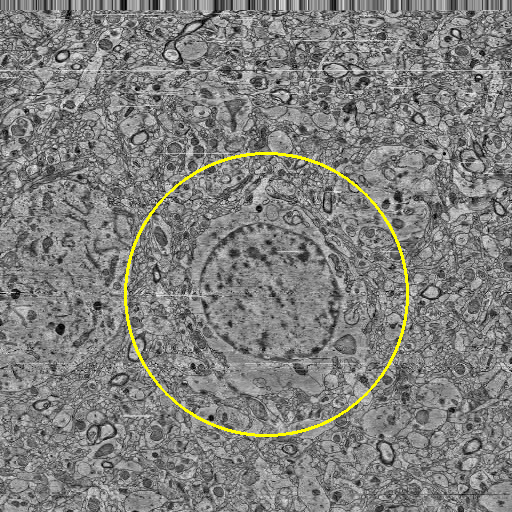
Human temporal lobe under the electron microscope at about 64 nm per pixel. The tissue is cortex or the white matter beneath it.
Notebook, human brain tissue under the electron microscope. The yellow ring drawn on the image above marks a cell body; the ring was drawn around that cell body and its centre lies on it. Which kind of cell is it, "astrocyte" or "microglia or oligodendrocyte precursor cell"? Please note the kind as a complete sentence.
The marked cell body is that of an astrocyte.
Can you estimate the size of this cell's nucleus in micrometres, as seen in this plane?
The ringed cell's nucleus is about 9 micrometres across in this plane.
